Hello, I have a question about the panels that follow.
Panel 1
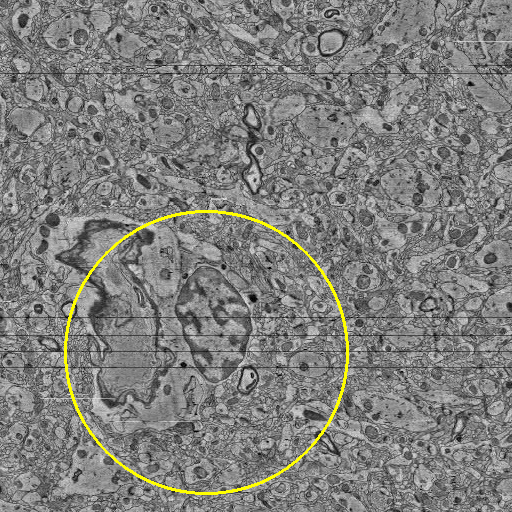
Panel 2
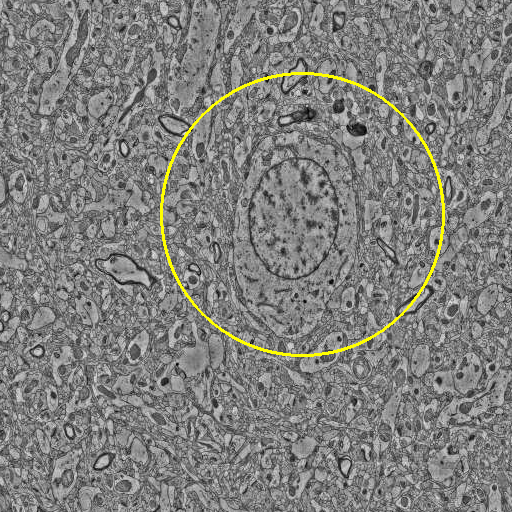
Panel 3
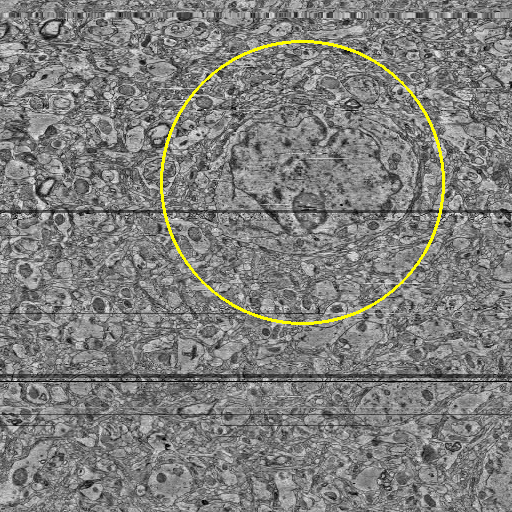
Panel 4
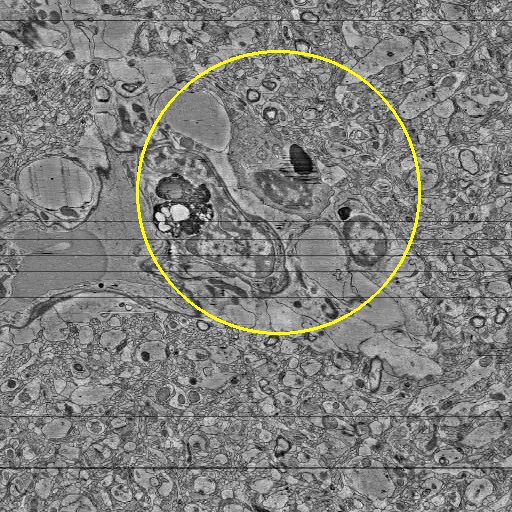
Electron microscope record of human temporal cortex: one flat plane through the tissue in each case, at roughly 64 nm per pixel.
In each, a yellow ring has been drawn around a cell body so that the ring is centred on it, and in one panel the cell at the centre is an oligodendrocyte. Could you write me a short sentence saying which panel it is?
It is Panel 4.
